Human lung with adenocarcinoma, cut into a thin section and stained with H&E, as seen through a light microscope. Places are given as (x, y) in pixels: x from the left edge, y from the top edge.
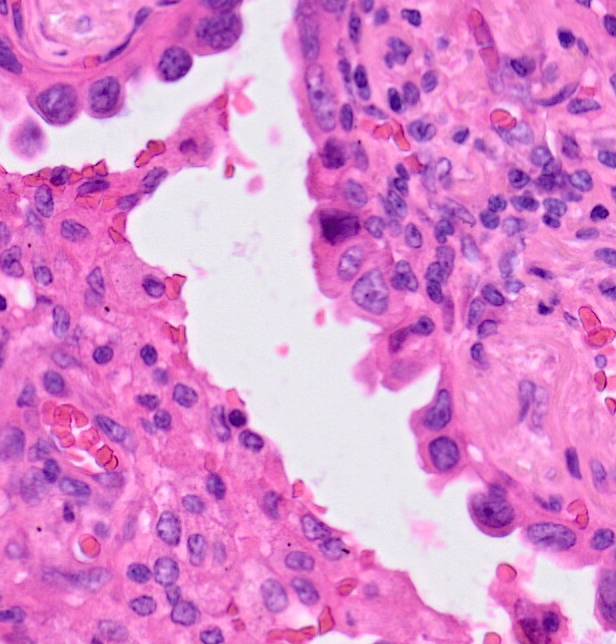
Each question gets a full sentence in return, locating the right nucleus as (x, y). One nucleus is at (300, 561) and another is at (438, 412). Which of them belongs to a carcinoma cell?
Housed in a carcinoma cell is the nucleus at (438, 412), not the other one.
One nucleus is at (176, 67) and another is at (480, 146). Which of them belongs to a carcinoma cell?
Assigned to a carcinoma cell is the nucleus located at (176, 67).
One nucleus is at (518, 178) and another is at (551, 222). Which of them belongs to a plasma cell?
Of the two options, the nucleus at (518, 178) is the one that belongs to a plasma cell.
